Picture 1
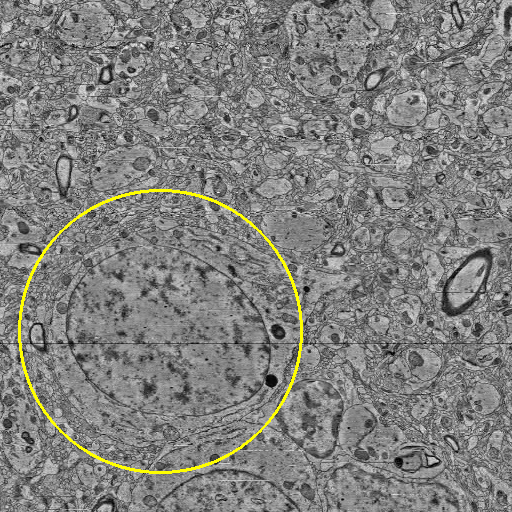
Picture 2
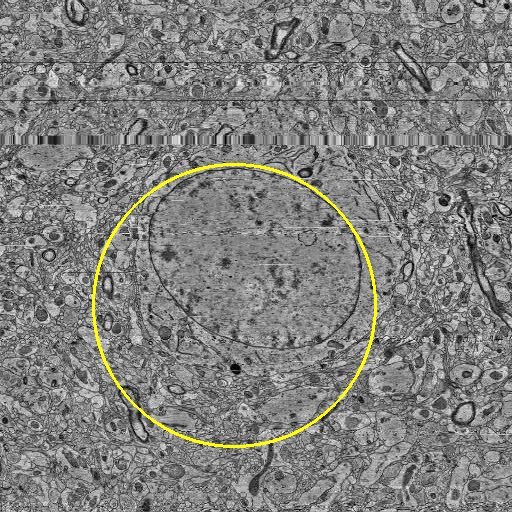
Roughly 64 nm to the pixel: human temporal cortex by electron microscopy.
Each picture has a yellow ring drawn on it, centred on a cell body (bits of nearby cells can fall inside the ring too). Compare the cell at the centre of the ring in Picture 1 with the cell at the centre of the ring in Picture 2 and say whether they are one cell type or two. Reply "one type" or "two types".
one type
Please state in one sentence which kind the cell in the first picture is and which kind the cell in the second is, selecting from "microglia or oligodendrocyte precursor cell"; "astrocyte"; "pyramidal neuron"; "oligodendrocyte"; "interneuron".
Each one of the two ringed cells is a pyramidal neuron.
